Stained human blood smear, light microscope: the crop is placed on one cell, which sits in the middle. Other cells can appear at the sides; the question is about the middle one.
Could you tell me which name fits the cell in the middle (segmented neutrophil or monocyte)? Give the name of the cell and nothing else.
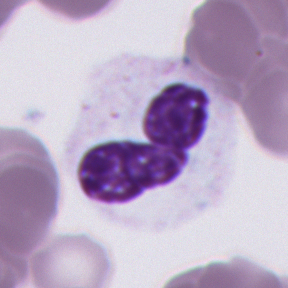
segmented neutrophil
